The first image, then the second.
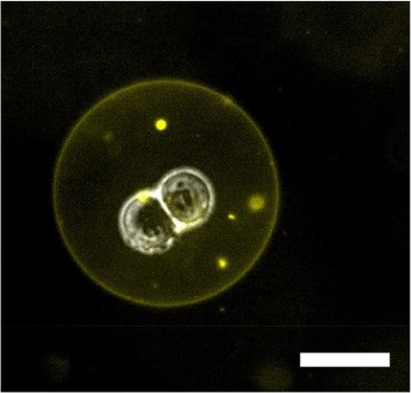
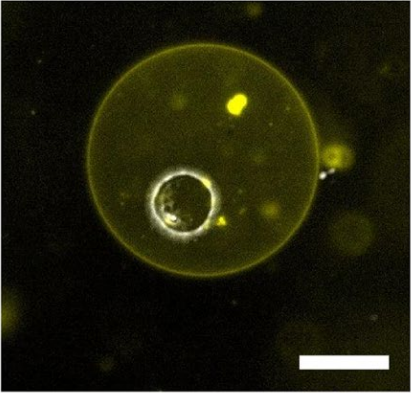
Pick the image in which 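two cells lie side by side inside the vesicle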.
The first image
